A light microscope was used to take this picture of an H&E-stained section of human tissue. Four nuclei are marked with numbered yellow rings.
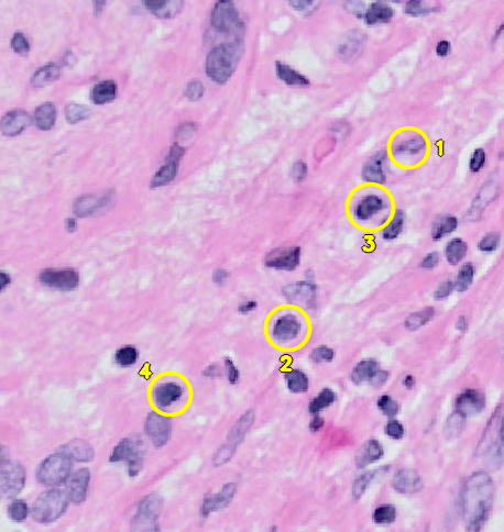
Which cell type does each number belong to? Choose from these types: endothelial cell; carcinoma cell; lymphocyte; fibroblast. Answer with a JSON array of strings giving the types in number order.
["endothelial cell", "lymphocyte", "lymphocyte", "lymphocyte"]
